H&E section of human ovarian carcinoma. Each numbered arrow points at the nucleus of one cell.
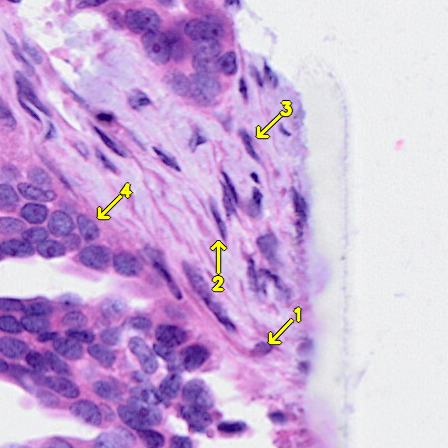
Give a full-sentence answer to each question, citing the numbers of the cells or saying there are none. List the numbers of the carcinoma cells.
Of the cells marked with numbers, cell 4 is the only one that is a carcinoma cell.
